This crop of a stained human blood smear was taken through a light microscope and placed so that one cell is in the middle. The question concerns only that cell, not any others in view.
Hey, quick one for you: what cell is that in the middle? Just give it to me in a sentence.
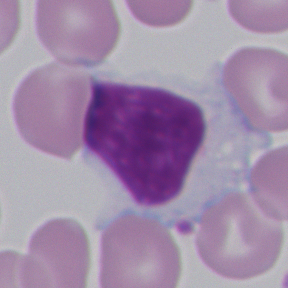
The cell at the central position in this crop is a lymphocyte.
